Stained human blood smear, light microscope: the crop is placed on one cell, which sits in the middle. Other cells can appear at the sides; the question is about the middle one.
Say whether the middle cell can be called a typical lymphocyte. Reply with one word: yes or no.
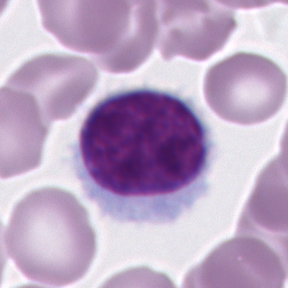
no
